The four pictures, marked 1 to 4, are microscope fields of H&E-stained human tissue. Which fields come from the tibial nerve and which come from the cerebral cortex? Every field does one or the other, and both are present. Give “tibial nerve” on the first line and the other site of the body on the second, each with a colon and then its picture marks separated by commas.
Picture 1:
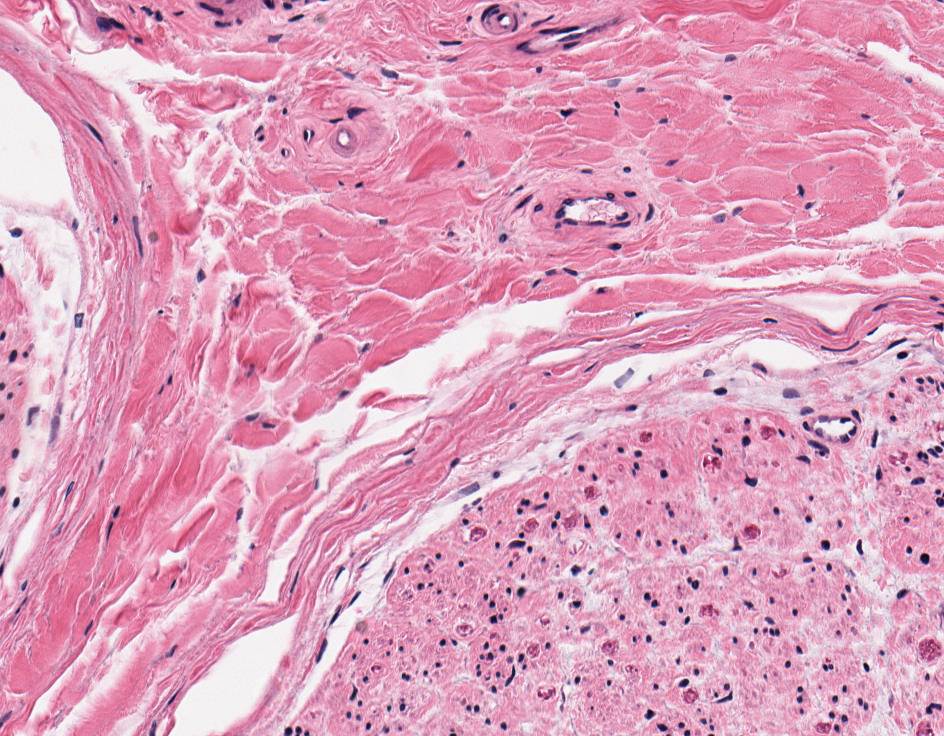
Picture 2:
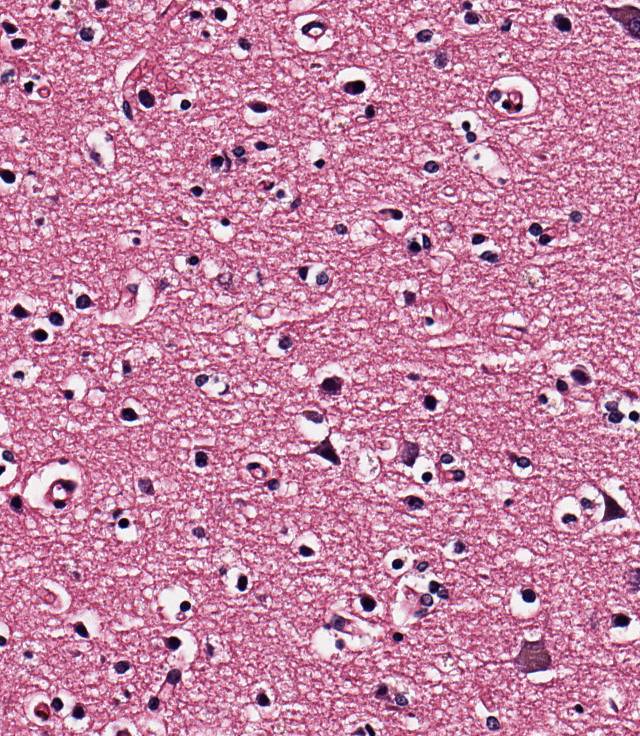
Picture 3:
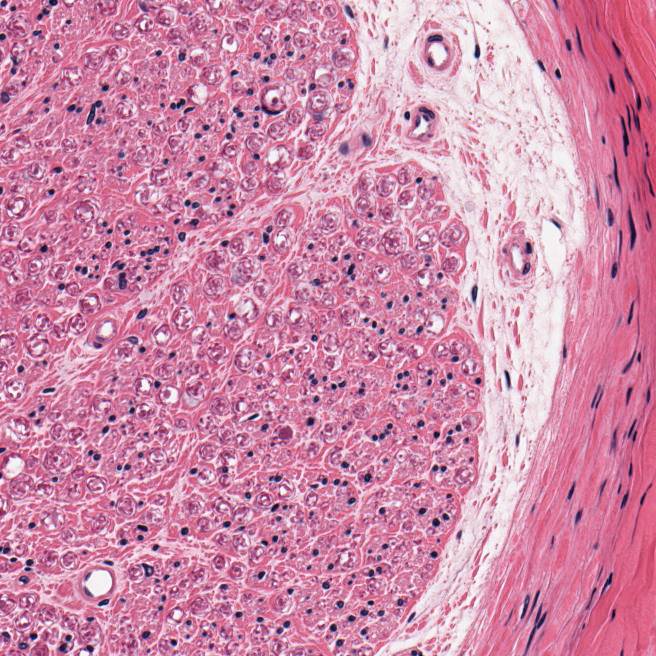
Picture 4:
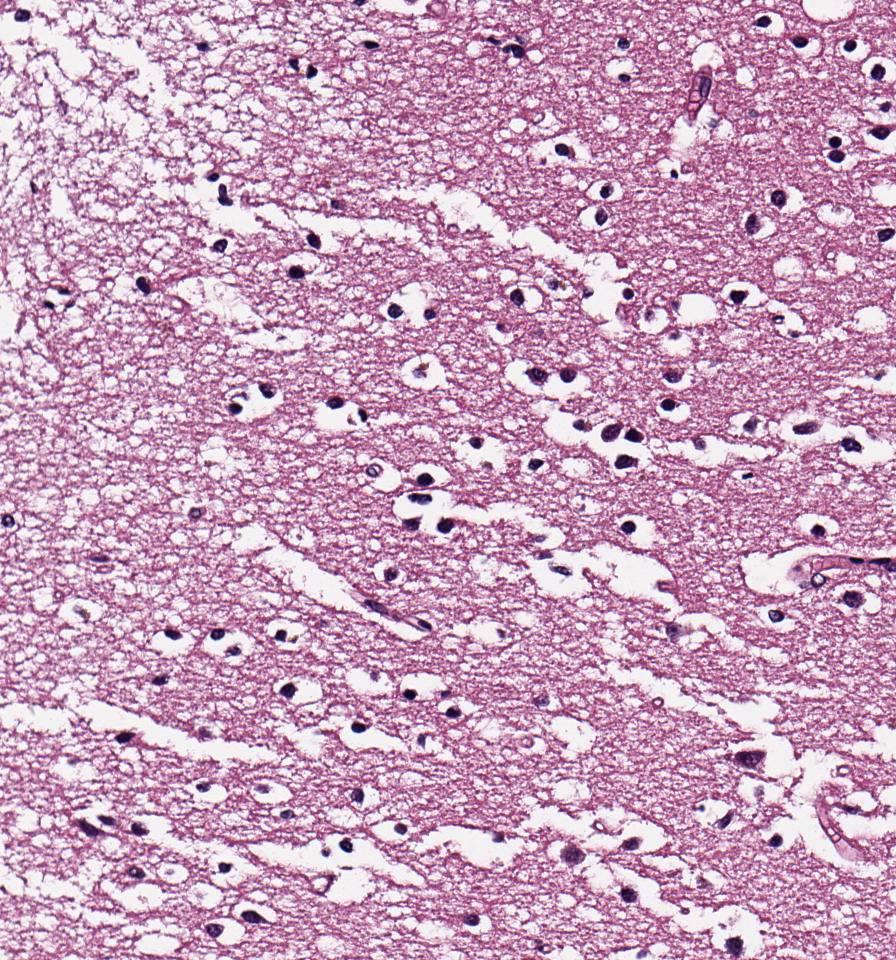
tibial nerve: 1, 3
cerebral cortex: 2, 4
